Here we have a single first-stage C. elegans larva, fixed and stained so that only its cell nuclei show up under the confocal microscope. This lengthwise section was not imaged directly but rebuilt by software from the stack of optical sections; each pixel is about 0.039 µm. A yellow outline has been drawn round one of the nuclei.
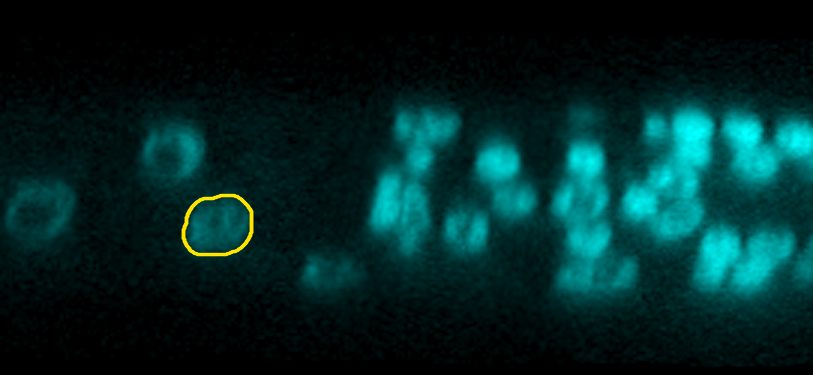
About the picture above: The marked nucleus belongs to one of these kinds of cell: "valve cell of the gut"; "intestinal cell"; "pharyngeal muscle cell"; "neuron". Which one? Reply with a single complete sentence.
It is the nucleus of an intestinal cell.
